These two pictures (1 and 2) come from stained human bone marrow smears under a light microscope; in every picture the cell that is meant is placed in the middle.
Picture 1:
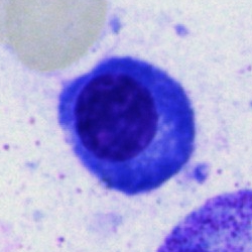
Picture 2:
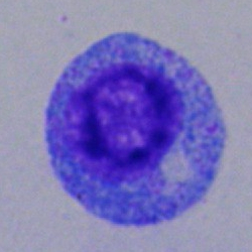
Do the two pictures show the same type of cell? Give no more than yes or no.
no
